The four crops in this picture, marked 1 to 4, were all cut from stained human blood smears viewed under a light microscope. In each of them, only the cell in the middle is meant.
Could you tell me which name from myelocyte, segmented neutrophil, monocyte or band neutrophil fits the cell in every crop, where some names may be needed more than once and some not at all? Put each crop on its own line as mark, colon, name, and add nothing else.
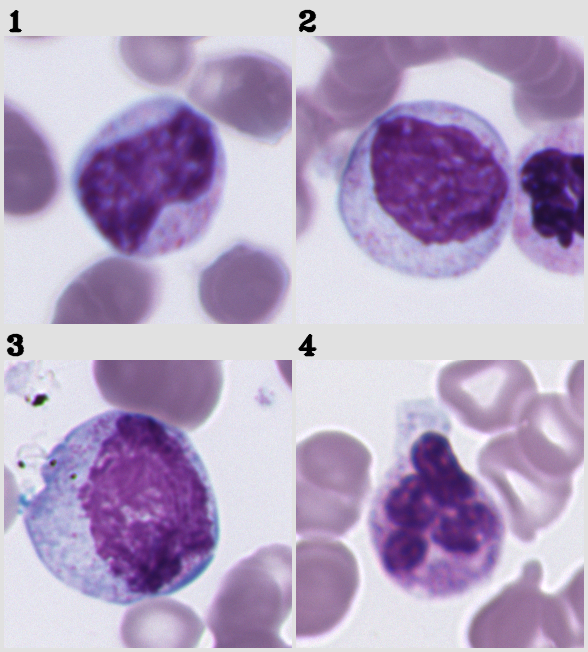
1: band neutrophil
2: myelocyte
3: myelocyte
4: segmented neutrophil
